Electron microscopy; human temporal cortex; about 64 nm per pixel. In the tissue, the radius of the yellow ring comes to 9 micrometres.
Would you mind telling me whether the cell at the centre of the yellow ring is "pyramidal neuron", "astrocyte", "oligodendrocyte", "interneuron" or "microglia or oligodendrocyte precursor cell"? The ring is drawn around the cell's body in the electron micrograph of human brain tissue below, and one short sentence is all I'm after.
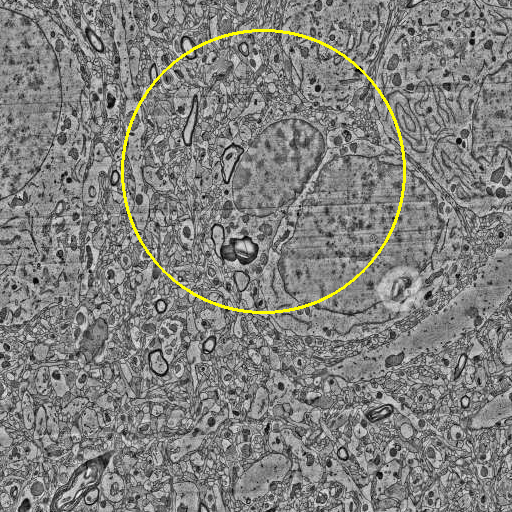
In the centre of the ring lies an oligodendrocyte.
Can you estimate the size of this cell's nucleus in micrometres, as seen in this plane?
The nucleus of the ringed cell is clearly longer than it is wide in this plane, about 7 by 5 micrometres.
